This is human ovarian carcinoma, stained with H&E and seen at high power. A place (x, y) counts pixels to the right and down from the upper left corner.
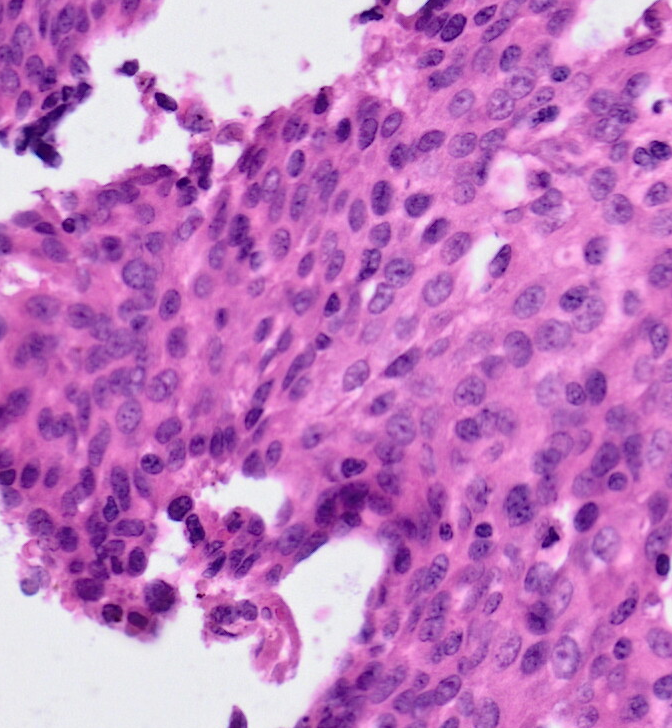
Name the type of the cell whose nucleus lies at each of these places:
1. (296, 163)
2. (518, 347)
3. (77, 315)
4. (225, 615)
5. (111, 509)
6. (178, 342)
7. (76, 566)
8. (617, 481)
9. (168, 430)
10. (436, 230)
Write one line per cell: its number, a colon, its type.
1: macrophage or monocyte
2: carcinoma cell
3: carcinoma cell
4: macrophage or monocyte
5: macrophage or monocyte
6: carcinoma cell
7: carcinoma cell
8: macrophage or monocyte
9: carcinoma cell
10: carcinoma cell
